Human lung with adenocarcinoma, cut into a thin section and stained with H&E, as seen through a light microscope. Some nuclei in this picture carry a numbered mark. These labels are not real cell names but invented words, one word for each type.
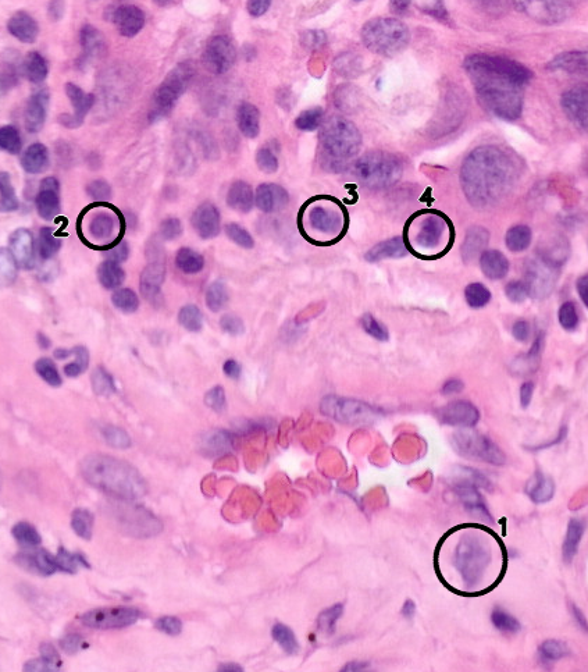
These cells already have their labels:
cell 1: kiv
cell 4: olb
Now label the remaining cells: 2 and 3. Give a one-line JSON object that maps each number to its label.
{"2": "olb", "3": "olb"}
